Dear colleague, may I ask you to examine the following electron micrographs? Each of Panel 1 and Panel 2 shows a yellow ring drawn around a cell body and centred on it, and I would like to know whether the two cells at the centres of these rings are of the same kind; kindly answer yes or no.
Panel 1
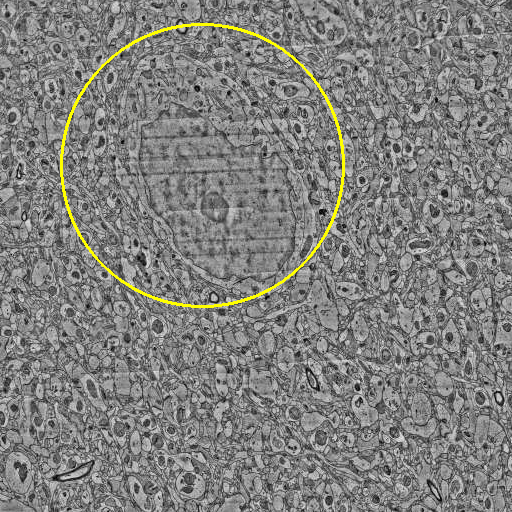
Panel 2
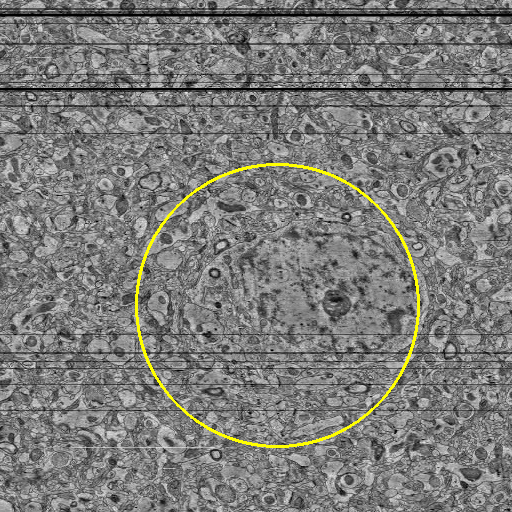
yes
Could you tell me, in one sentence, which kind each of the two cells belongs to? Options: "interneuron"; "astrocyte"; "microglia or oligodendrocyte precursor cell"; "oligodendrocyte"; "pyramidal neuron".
Each of the two pictures has an interneuron at the ring centre.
